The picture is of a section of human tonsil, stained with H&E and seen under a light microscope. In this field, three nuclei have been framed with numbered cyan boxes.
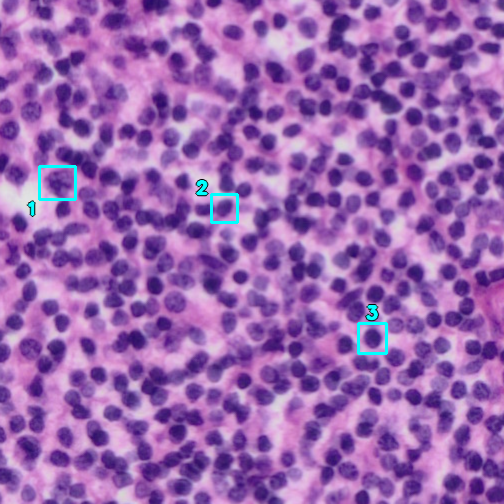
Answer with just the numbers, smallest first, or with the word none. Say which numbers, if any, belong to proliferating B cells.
1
